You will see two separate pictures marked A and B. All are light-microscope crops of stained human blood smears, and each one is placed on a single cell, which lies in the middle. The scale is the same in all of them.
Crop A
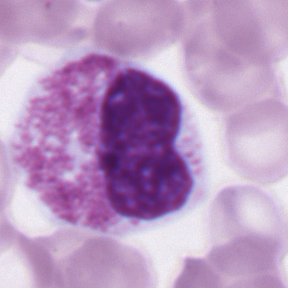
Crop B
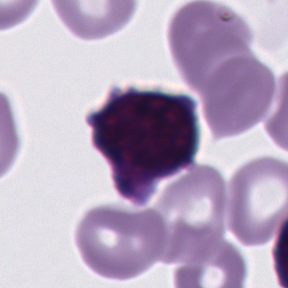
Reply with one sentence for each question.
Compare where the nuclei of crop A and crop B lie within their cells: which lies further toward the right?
The nucleus in crop A lies further toward the right of its cell.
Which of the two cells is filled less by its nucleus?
In crop A the nucleus takes up the smaller part of its cell.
